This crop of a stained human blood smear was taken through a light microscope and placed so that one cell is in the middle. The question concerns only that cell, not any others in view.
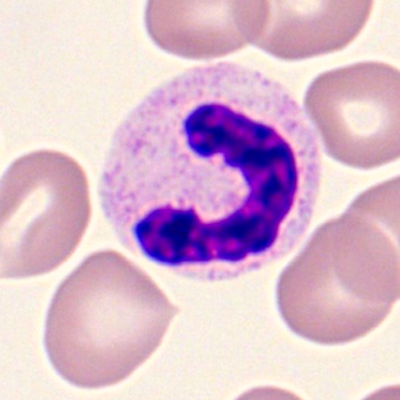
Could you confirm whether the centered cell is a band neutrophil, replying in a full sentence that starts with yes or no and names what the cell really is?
Yes, that is right: the middle cell is a band neutrophil.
